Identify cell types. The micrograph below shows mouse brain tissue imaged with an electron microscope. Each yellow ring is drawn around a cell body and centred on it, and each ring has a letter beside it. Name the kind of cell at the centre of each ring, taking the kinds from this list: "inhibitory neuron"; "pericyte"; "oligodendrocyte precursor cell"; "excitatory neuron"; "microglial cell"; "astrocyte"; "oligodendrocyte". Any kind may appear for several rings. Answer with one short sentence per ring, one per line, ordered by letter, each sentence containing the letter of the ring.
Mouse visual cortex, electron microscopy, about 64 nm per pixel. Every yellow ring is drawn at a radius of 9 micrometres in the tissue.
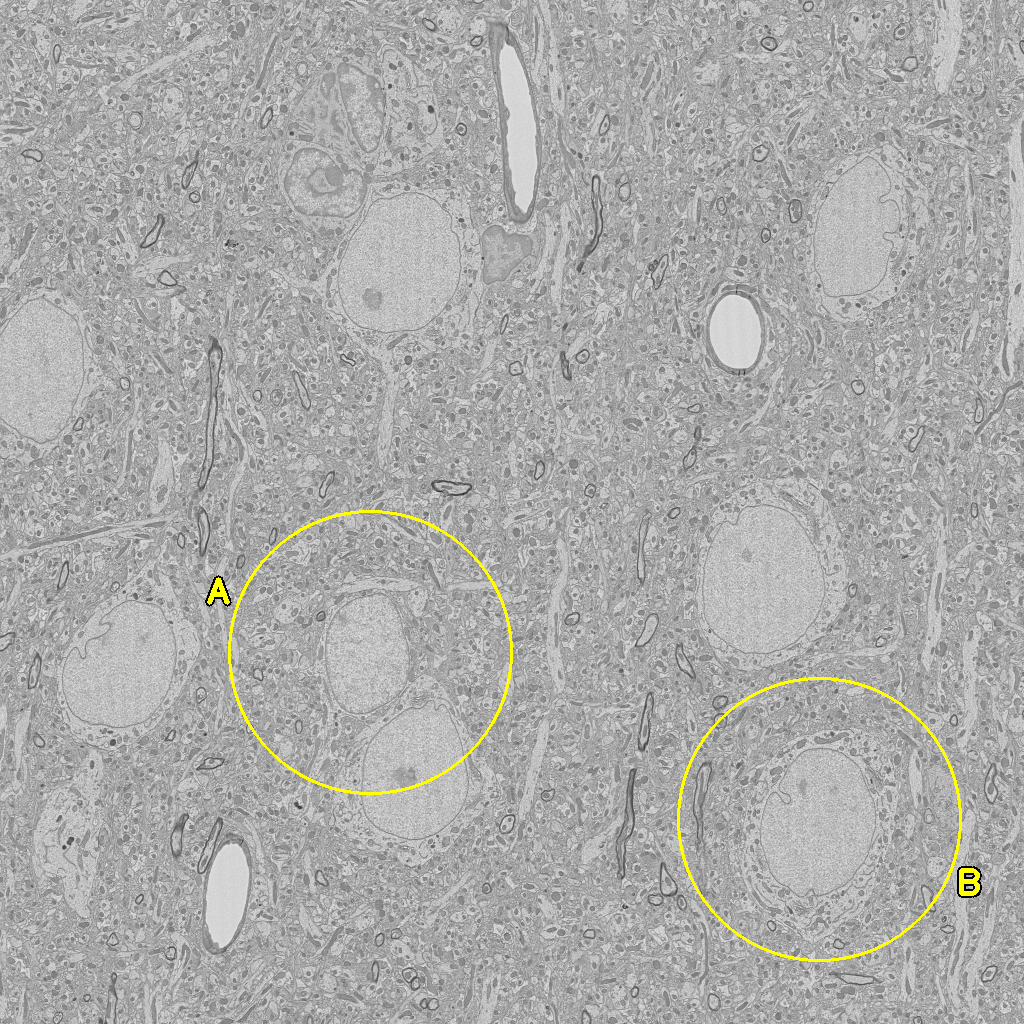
Ring A marks an astrocyte.
Ring B marks an inhibitory neuron.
